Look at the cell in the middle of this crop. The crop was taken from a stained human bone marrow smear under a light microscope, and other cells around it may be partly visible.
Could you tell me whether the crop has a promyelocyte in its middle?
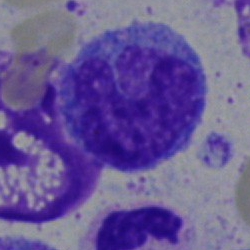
no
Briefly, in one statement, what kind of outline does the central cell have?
Irregular rather than smooth, the cell margin shows ragged areas or projections.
